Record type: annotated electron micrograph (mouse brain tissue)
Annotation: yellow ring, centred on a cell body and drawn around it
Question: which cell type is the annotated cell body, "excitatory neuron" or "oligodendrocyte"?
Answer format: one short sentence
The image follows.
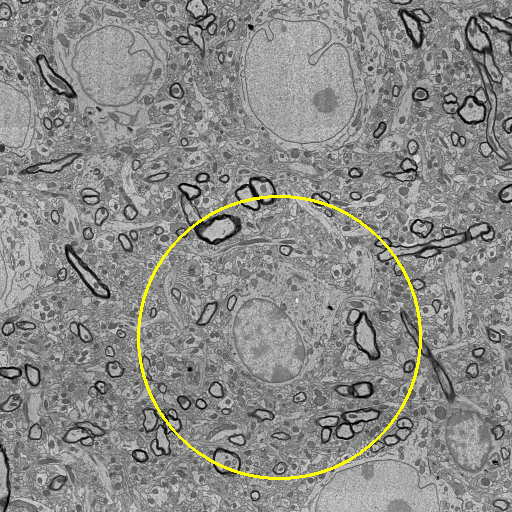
The annotated cell body is that of an oligodendrocyte.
